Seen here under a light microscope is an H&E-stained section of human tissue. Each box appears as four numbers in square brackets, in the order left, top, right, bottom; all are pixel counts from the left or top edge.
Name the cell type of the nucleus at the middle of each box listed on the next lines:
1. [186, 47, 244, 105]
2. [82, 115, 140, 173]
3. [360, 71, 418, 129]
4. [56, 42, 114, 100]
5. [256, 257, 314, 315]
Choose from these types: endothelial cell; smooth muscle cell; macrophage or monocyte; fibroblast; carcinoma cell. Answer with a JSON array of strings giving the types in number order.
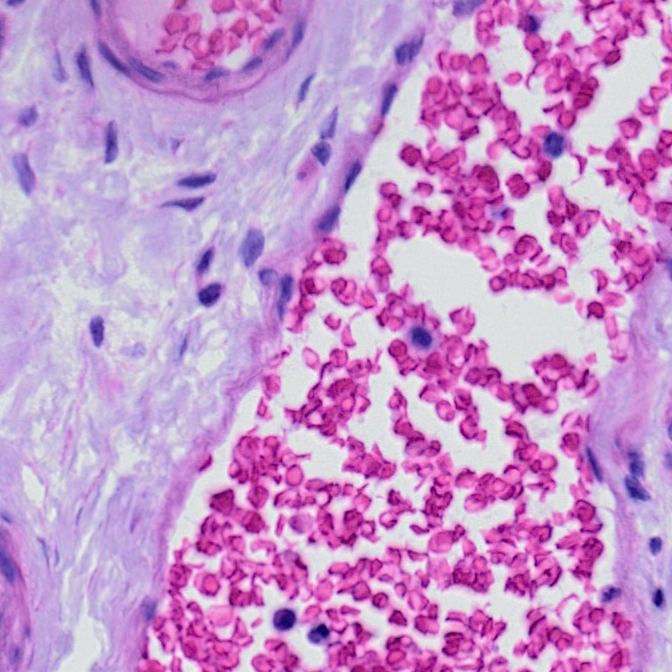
["endothelial cell", "fibroblast", "endothelial cell", "fibroblast", "endothelial cell"]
